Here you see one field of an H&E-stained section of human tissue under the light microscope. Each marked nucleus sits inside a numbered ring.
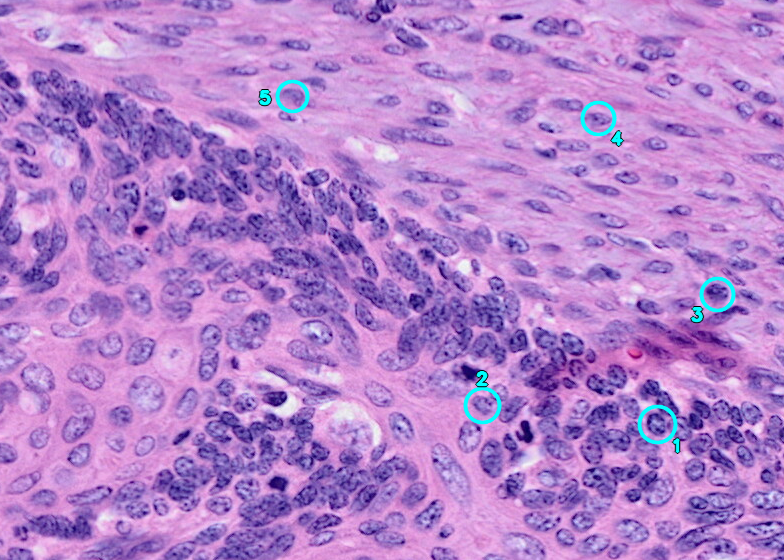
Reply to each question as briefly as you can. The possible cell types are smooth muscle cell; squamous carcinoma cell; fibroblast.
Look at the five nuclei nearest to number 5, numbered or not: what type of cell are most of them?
smooth muscle cell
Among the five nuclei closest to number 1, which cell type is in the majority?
squamous carcinoma cell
